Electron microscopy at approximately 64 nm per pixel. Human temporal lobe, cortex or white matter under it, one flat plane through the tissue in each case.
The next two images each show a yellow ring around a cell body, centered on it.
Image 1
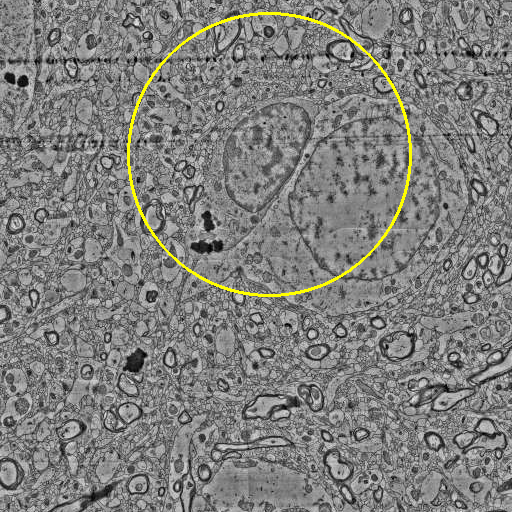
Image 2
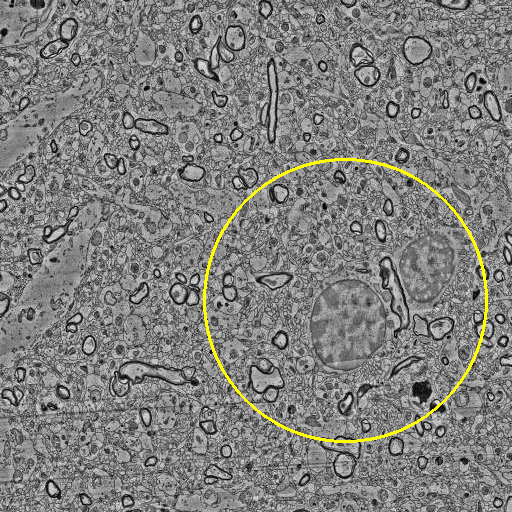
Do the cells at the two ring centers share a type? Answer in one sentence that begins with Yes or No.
Yes, across the two images the cells at the ring centers share one type.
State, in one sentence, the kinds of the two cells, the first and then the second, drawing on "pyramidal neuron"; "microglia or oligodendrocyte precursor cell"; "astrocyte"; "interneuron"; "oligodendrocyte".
In each picture the ringed cell is an oligodendrocyte.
